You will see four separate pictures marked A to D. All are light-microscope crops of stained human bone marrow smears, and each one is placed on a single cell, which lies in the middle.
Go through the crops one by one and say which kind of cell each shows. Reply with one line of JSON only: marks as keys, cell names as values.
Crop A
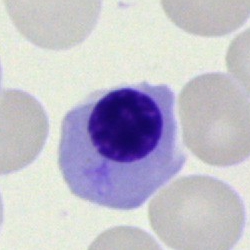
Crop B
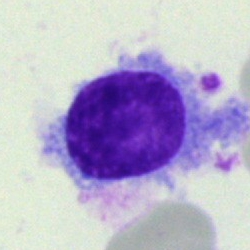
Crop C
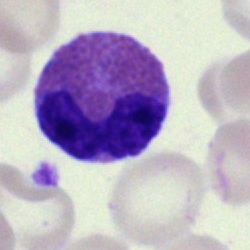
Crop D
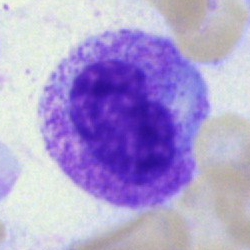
{"A": "erythroblast", "B": "hairy cell", "C": "eosinophil", "D": "metamyelocyte"}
